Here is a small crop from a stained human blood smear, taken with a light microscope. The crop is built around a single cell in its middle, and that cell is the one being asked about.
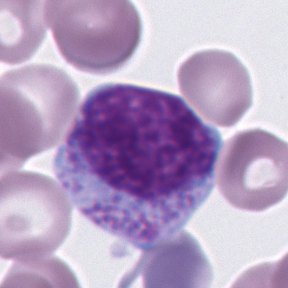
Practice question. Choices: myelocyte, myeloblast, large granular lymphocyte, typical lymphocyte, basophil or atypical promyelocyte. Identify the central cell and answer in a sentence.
Centrally within this crop lies a myelocyte.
